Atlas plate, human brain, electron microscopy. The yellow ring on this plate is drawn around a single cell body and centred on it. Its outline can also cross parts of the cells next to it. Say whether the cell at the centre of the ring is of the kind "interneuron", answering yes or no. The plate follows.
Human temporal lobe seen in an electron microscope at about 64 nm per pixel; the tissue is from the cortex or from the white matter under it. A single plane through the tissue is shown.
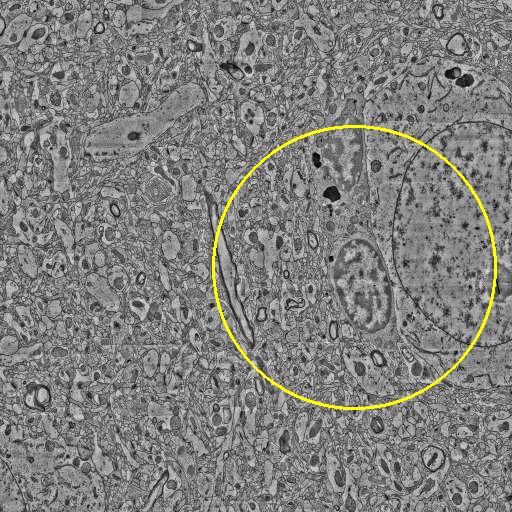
No, the cell is of another kind.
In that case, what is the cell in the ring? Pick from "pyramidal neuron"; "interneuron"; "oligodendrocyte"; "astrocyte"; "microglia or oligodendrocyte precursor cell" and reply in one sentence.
The correct answer is that the cell is an oligodendrocyte.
